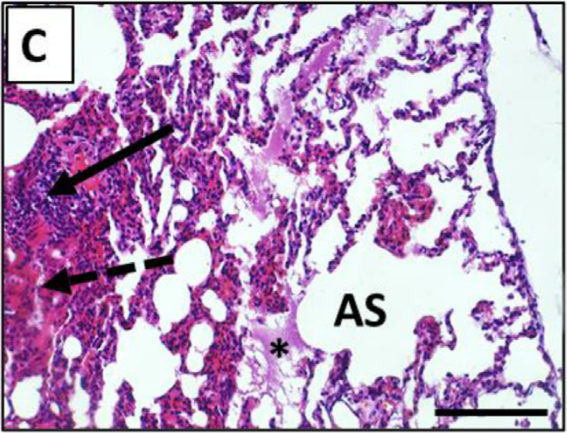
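This lung field is unevenly affected: at the left the septa are thick and crowded with small dark nuclei, with patches of bright red blood among them, so that air spaces vanish. Towards the right the alveoli open up with thinner walls. One alveolus near the lower middle is filled with pale pink, almost acellular fluid, and wisps of pink material lie in other spaces too.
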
